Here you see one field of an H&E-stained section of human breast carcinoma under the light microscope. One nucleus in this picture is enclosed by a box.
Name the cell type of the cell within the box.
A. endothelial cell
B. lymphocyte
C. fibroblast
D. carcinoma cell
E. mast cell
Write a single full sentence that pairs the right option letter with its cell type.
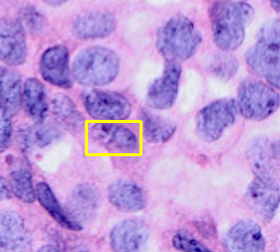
The correct identification, the cell within the box as a carcinoma cell, is given by option D.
